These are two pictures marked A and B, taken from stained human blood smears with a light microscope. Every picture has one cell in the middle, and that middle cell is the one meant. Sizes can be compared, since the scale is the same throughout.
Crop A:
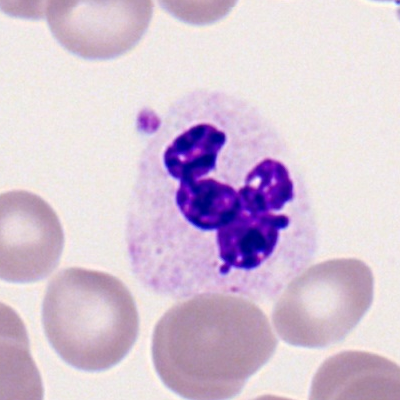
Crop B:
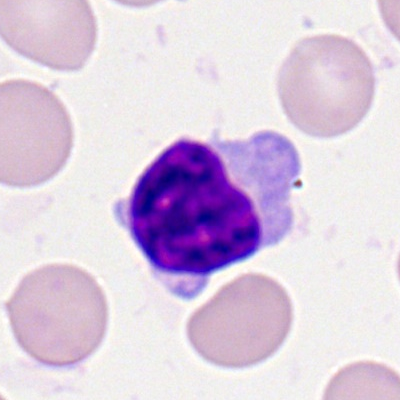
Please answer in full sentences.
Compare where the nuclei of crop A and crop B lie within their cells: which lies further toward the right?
The nucleus in crop A lies further toward the right of its cell.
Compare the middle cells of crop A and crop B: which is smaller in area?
The cell in crop B is smaller; the one in crop A has about 1.5 times its area.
